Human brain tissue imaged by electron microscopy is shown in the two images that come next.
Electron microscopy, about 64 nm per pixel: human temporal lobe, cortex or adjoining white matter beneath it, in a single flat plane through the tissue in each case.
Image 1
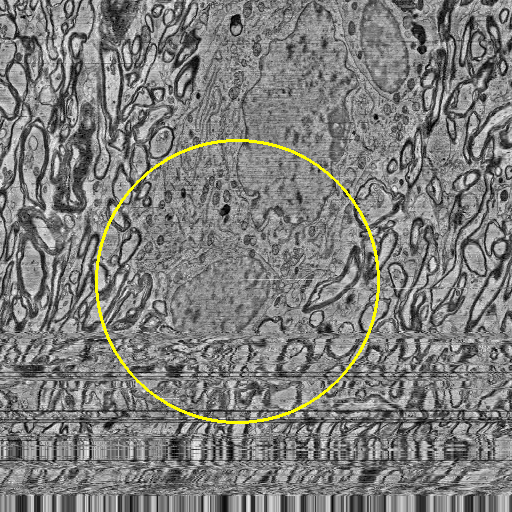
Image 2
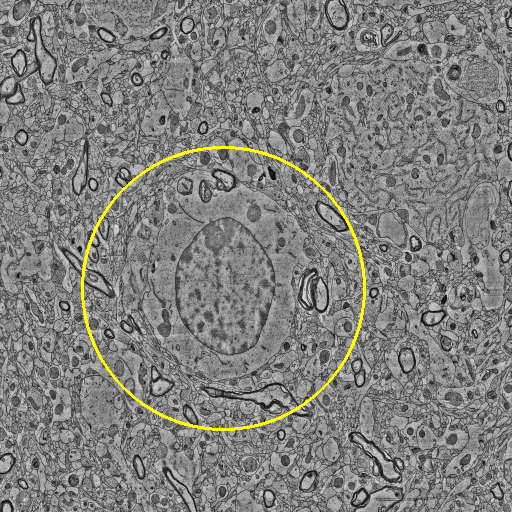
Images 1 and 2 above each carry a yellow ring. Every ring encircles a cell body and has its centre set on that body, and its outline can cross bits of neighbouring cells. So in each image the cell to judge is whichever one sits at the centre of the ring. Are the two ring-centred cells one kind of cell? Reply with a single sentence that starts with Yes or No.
No, in Image 1 and Image 2 the cells at the centres of their rings fall into two types.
